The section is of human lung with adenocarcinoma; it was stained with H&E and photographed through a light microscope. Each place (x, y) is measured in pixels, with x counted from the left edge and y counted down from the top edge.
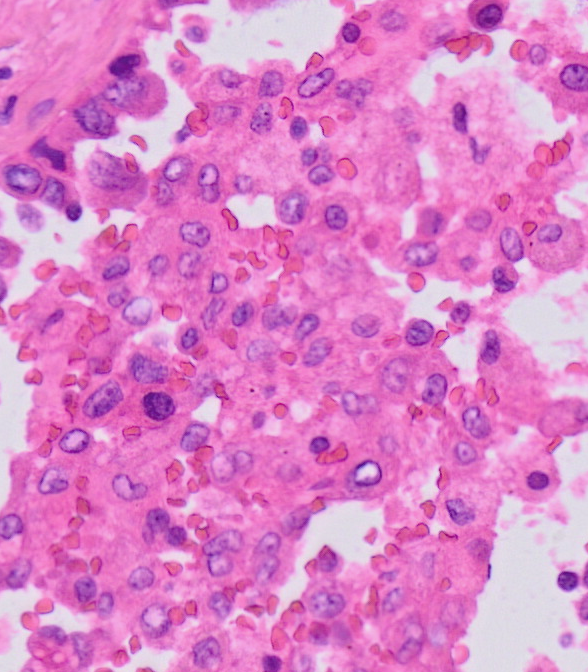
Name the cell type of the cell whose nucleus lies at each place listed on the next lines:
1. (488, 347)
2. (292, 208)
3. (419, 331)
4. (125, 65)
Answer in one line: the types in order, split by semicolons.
macrophage or monocyte; macrophage or monocyte; macrophage or monocyte; carcinoma cell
